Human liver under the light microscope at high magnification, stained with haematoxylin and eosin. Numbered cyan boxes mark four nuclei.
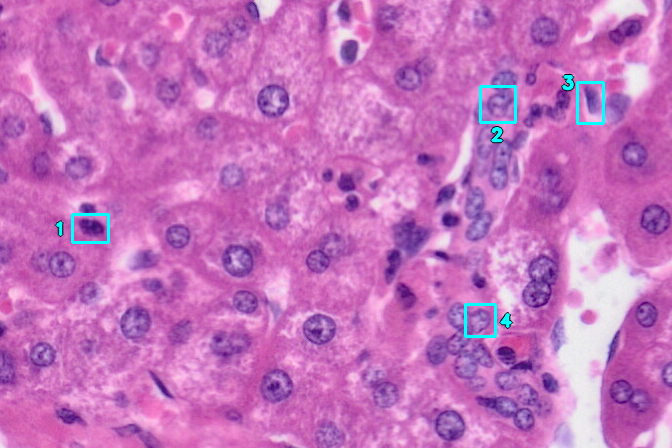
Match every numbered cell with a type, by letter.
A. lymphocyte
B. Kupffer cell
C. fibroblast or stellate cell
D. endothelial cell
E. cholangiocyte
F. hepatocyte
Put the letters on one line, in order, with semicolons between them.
C; E; C; E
